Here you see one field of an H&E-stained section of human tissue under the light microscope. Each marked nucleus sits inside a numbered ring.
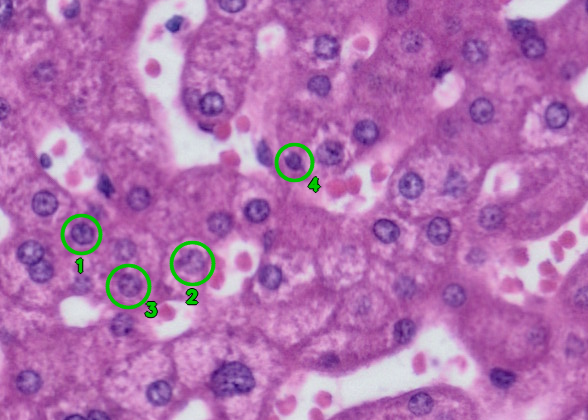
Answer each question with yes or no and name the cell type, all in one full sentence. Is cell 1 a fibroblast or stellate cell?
No, number 1 is assigned to a hepatocyte, not to a fibroblast or stellate cell.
